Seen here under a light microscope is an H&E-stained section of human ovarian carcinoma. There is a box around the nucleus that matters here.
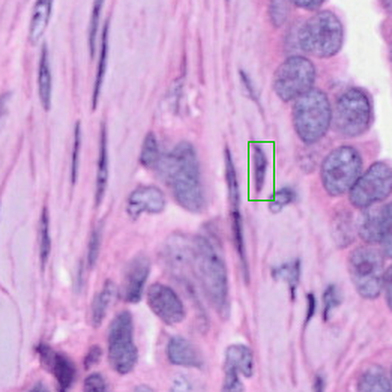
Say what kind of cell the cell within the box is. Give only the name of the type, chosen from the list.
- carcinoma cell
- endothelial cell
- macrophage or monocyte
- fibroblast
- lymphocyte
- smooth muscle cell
fibroblast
